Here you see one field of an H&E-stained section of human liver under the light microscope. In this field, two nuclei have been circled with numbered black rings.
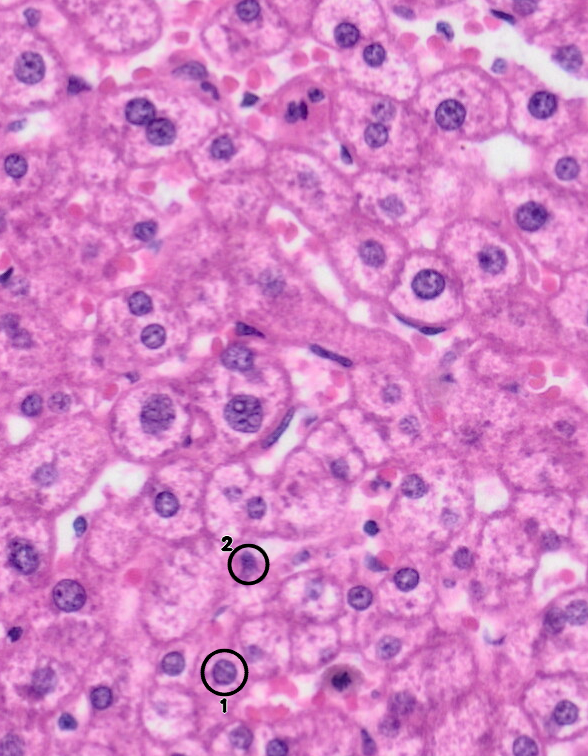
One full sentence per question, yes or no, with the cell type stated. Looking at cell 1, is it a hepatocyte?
Yes, the cell that the number 1 labels is a hepatocyte.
